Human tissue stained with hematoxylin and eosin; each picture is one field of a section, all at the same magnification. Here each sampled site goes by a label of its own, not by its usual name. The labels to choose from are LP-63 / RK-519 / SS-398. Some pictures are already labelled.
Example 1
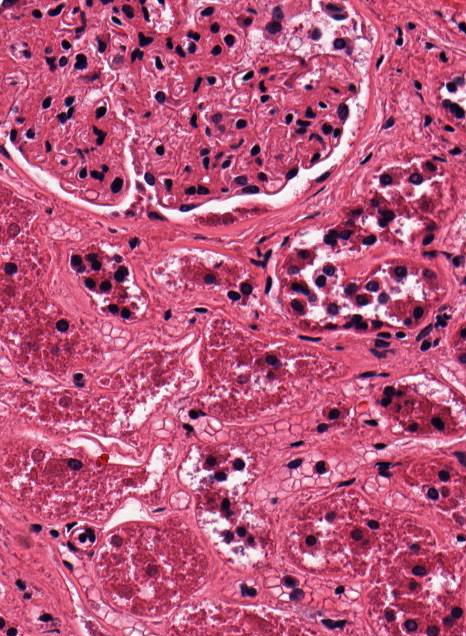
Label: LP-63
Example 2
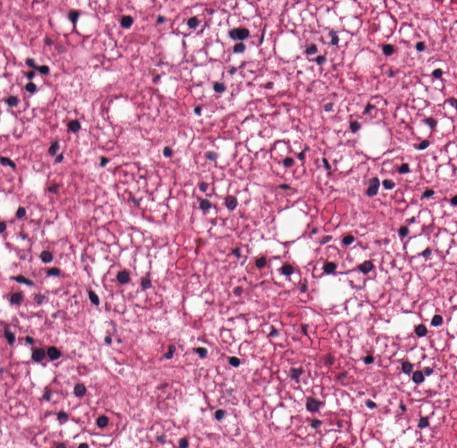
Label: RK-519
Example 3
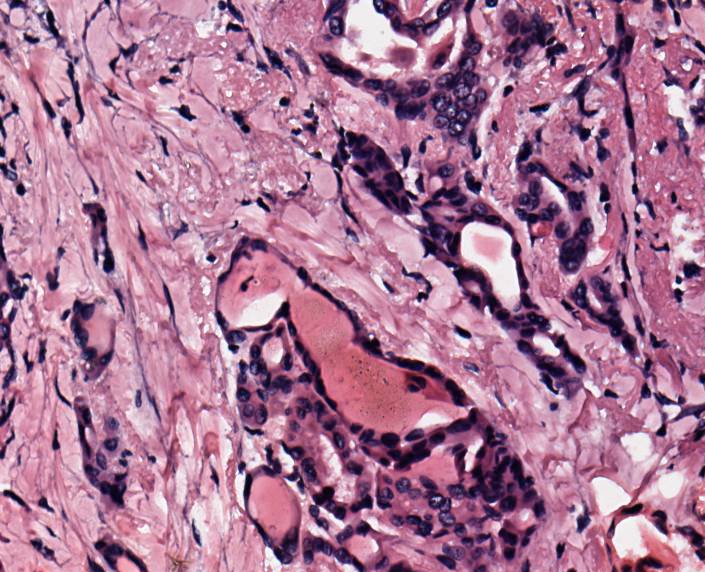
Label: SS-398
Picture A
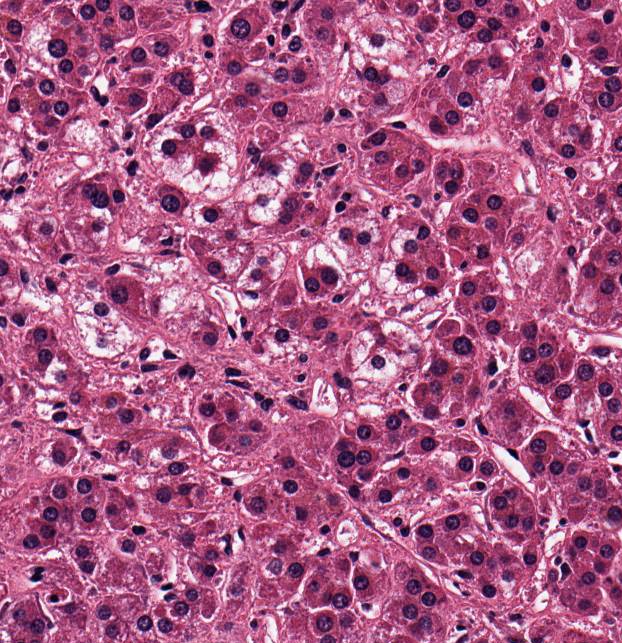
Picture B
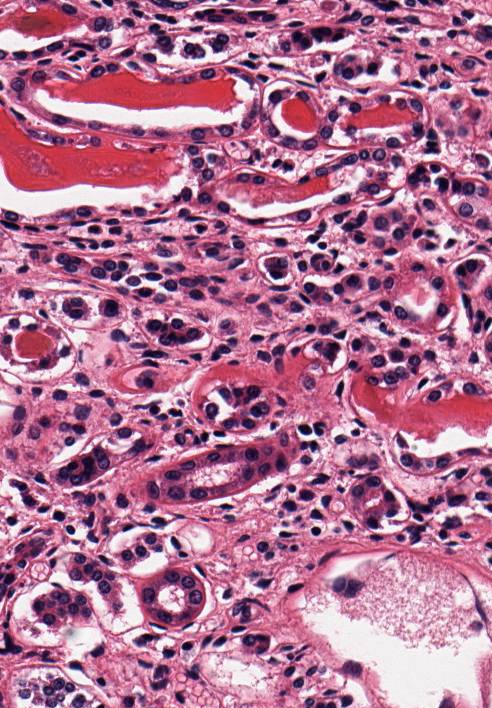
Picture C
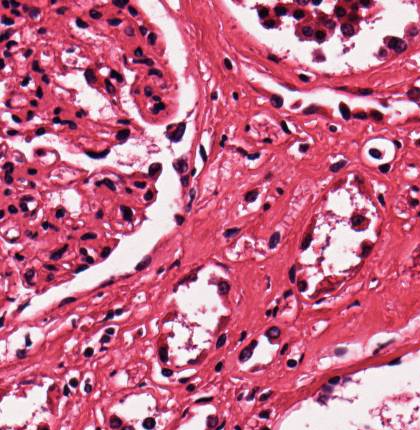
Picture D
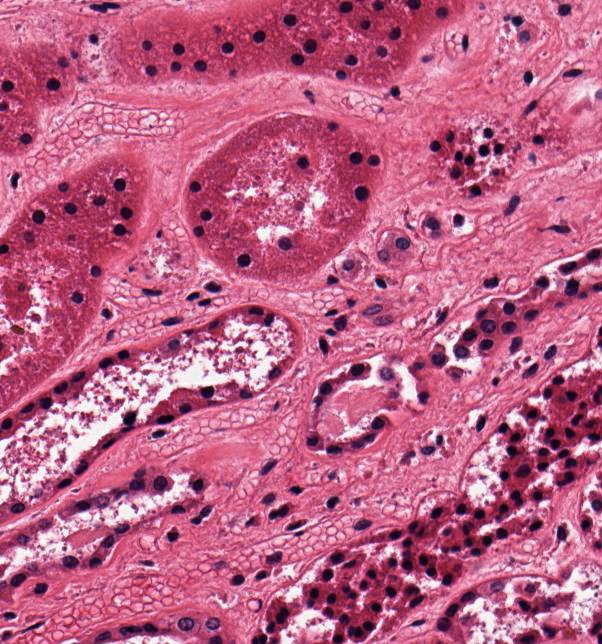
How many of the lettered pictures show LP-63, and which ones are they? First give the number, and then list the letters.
3, namely B, C, D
